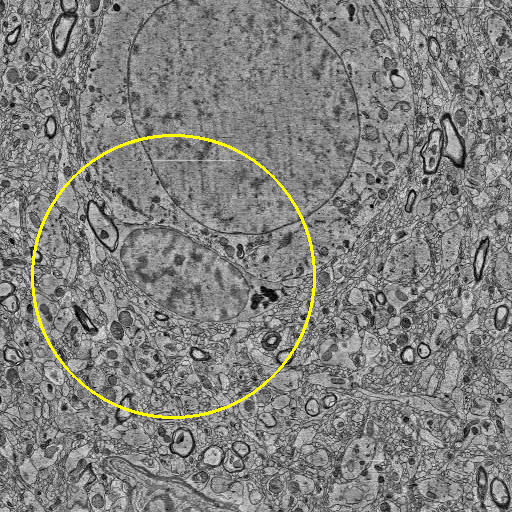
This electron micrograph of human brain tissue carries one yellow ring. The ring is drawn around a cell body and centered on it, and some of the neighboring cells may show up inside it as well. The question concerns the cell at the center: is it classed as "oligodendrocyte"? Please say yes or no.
Yes, it is classed that way.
